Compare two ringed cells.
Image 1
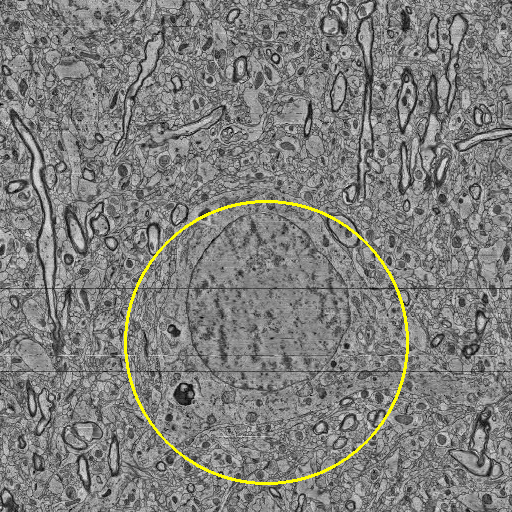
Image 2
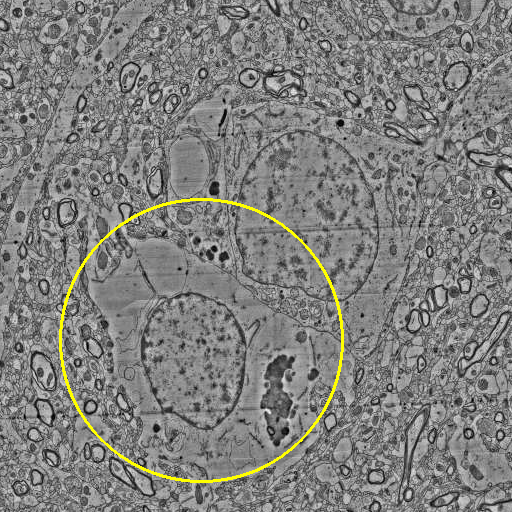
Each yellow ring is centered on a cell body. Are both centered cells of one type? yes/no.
no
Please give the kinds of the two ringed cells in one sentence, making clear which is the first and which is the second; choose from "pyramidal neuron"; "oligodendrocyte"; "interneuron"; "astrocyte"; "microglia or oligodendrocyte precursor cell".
In the second picture the ringed cell is an astrocyte; in the first it is a pyramidal neuron.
